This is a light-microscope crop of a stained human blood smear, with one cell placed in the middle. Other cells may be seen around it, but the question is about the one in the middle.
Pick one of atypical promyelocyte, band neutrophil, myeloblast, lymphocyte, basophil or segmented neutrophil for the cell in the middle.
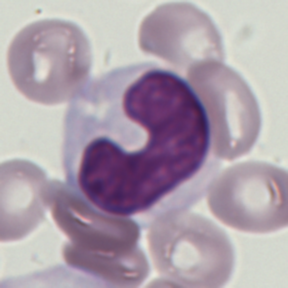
band neutrophil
